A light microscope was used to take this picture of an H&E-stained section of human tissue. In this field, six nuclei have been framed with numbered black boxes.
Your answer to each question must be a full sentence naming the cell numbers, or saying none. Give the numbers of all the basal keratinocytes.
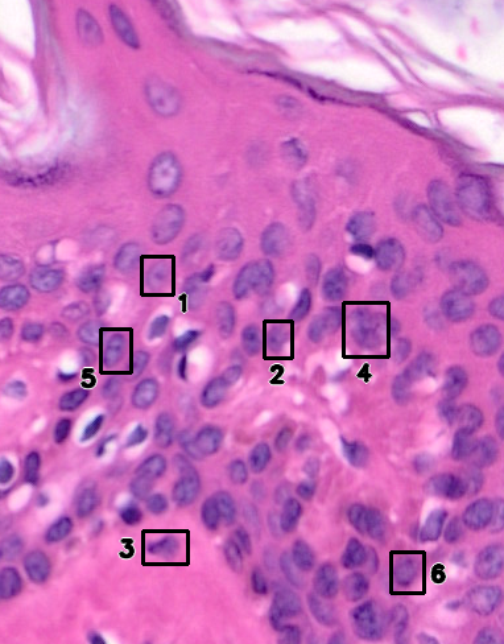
The cells numbered 2, 4, 5 and 6 are typed as basal keratinocytes.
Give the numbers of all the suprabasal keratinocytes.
The cell marked by number 1 is a suprabasal keratinocyte; the other marked cells are not.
